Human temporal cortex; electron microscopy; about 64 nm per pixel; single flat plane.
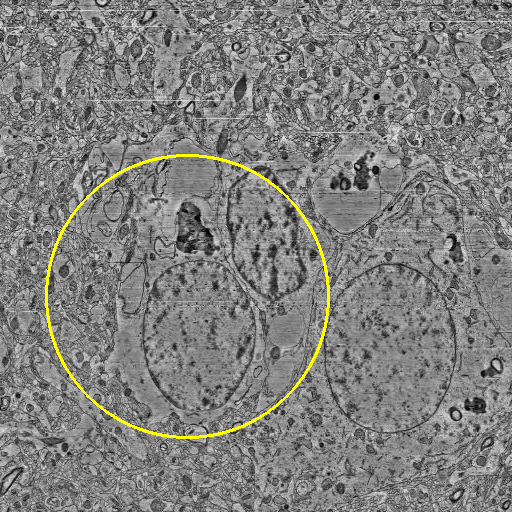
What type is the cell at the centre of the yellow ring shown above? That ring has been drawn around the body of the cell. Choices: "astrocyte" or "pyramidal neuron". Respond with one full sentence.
My answer is that an astrocyte lies at the centre of the yellow ring above.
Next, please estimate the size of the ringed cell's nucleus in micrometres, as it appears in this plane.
About 10 by 7 micrometers, in this plane.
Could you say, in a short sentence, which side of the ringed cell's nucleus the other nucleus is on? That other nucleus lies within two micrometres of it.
The second nucleus lies to the upper right of it.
